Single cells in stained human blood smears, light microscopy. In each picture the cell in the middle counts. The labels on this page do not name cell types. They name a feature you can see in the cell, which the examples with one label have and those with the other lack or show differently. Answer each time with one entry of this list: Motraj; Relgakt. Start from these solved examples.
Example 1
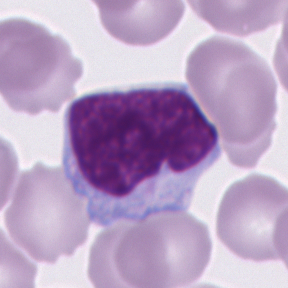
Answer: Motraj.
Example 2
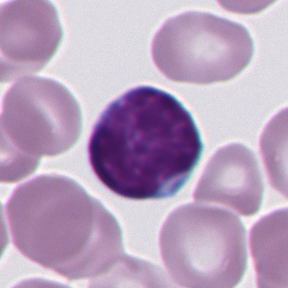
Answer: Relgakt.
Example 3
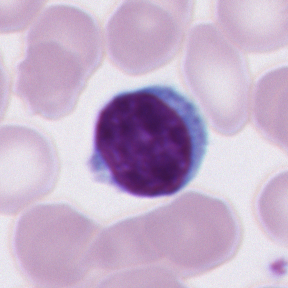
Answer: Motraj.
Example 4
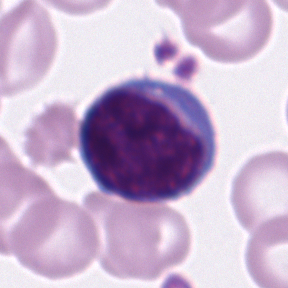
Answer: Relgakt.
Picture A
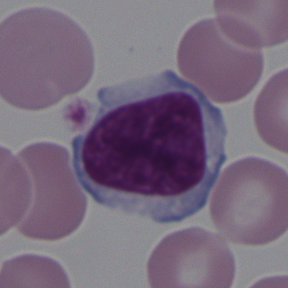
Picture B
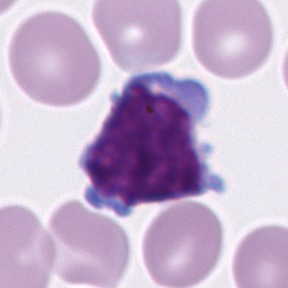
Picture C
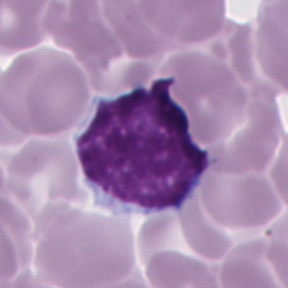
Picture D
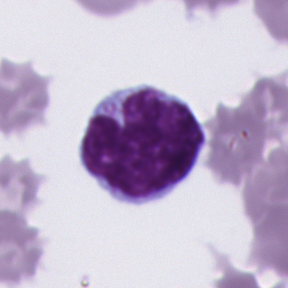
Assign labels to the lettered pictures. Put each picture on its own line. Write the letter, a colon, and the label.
A: Motraj.
B: Motraj.
C: Motraj.
D: Relgakt.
